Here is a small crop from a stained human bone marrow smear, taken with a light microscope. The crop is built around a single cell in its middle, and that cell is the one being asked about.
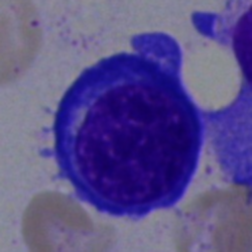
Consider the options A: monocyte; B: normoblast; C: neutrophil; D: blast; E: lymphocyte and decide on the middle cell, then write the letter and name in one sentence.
The cell at the centre, correctly named in option B, is a normoblast.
